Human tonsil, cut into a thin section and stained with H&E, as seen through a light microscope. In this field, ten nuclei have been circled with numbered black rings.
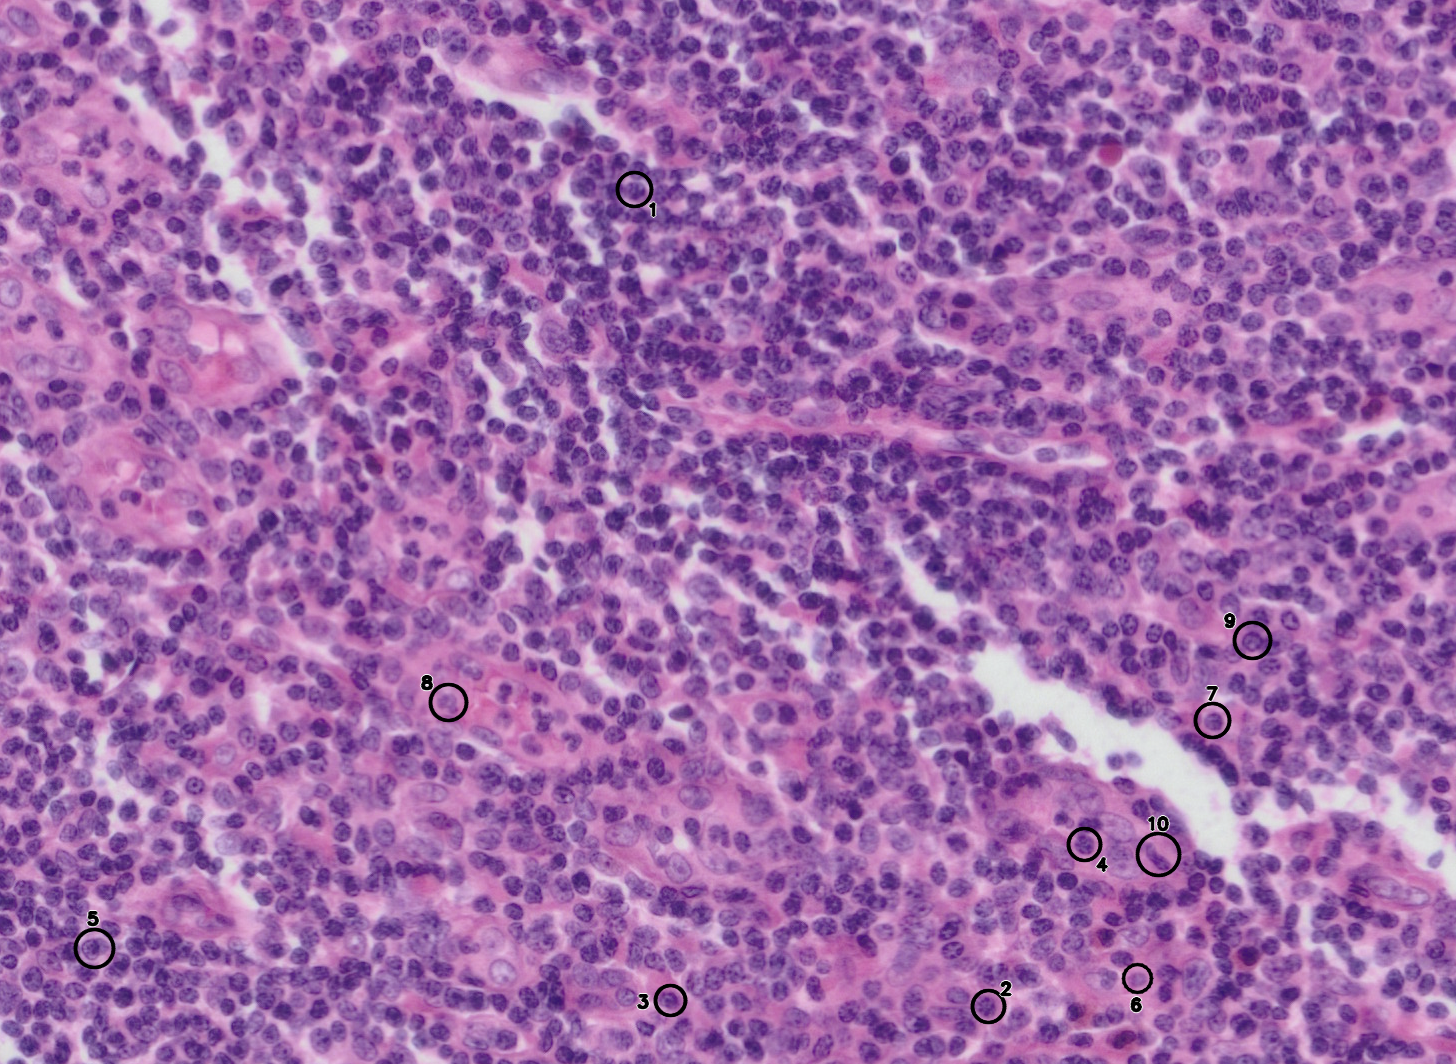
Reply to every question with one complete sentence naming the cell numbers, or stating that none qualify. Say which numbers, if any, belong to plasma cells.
Into the category of plasma cells fall the cells numbered 2, 3 and 9.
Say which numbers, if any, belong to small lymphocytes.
The cells tagged with numbers 1 and 5 are small lymphocytes.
